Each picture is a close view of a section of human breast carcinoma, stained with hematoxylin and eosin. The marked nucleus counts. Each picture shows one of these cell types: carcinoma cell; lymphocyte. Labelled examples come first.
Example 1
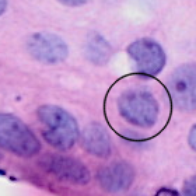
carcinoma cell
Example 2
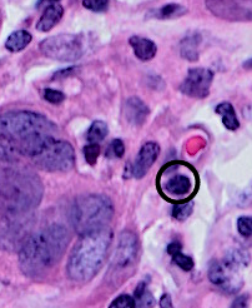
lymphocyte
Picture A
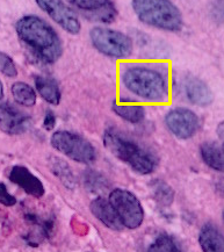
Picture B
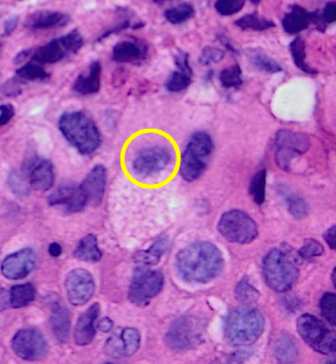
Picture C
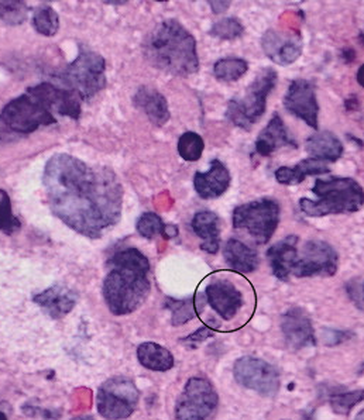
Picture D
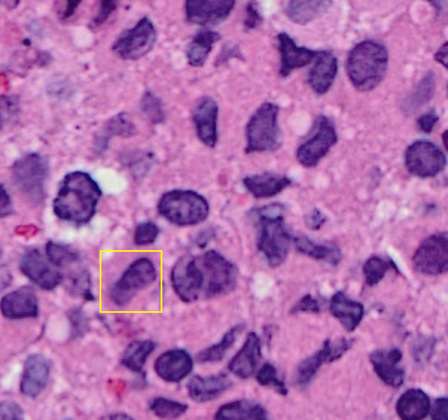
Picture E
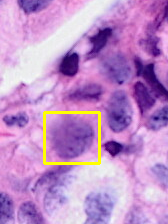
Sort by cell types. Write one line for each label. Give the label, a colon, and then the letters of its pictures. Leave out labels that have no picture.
carcinoma cell: A, B, C, D, E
